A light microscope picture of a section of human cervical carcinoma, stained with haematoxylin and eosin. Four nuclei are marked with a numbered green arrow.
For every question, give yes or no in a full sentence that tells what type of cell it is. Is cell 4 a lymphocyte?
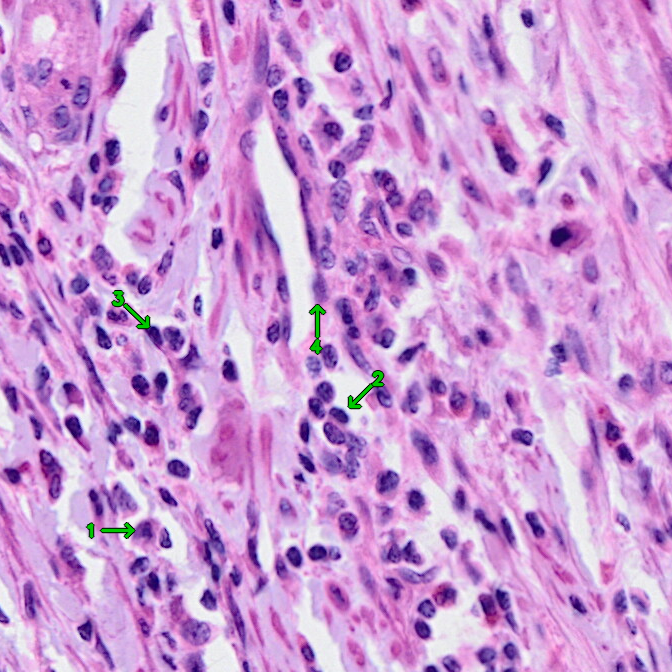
No, cell 4 counts as an endothelial cell rather than as a lymphocyte.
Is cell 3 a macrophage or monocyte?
No, a lymphocyte, not a macrophage or monocyte, is the cell with number 3.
